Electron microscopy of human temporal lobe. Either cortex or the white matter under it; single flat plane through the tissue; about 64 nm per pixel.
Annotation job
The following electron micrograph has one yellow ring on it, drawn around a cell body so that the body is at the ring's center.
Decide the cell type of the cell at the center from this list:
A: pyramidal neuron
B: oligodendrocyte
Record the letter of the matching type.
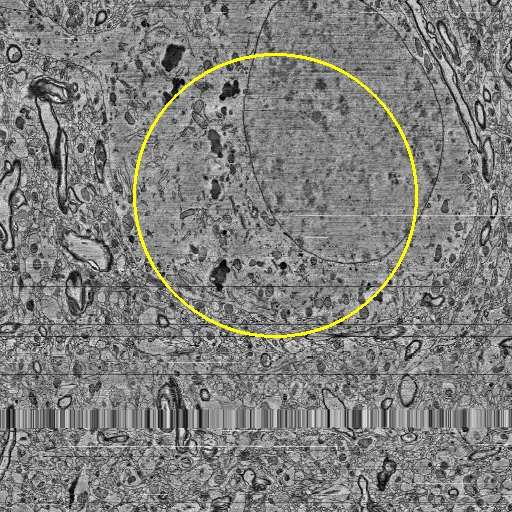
A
